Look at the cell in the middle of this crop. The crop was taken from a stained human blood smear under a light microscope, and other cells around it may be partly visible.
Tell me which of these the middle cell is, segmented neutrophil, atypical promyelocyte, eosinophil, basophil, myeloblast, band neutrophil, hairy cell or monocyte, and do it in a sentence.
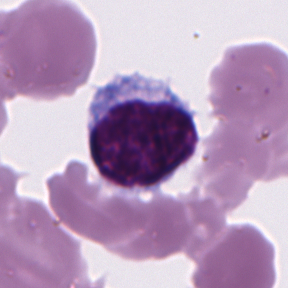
In the center of this field lies a hairy cell.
